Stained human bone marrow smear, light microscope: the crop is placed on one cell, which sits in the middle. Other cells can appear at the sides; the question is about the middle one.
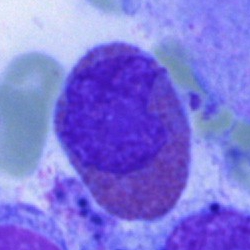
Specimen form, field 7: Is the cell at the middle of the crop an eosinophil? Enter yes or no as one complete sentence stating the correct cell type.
Yes, the identification of the central cell as an eosinophil is correct.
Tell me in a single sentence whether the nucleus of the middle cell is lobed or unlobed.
A single compact nucleus is present, shaped round, oval or like a kidney.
